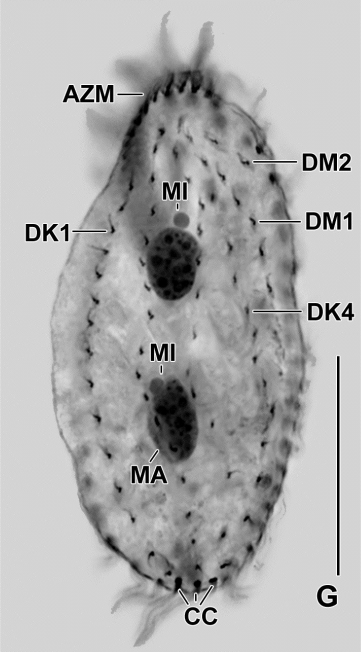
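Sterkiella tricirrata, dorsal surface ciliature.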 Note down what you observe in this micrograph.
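Two ovoid macronuclear nodules with coarse dark granules lie one behind the other along the midline, each with a small round micronucleus at its front. A few cirri project from the rear end.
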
